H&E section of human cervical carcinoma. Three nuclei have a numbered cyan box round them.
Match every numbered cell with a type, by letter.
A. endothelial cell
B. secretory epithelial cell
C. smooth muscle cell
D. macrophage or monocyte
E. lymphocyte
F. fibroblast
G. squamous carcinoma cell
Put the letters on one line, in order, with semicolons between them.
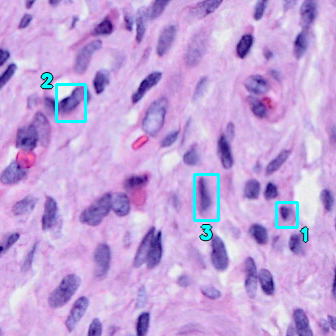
F; A; F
